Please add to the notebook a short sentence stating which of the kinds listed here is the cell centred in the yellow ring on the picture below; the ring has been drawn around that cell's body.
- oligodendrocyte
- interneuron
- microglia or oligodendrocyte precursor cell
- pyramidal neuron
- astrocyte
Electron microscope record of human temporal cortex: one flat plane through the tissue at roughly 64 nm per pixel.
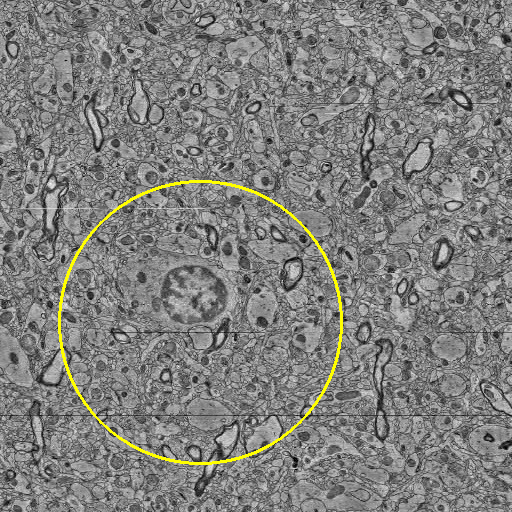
The cell centred in the yellow ring is an oligodendrocyte.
